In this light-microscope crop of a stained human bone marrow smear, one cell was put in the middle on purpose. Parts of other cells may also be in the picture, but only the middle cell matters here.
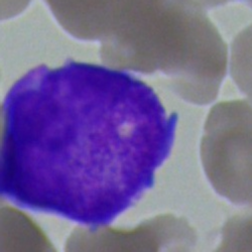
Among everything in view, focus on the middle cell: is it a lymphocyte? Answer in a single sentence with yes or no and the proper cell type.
No, the middle cell is not a lymphocyte, it being a blast.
